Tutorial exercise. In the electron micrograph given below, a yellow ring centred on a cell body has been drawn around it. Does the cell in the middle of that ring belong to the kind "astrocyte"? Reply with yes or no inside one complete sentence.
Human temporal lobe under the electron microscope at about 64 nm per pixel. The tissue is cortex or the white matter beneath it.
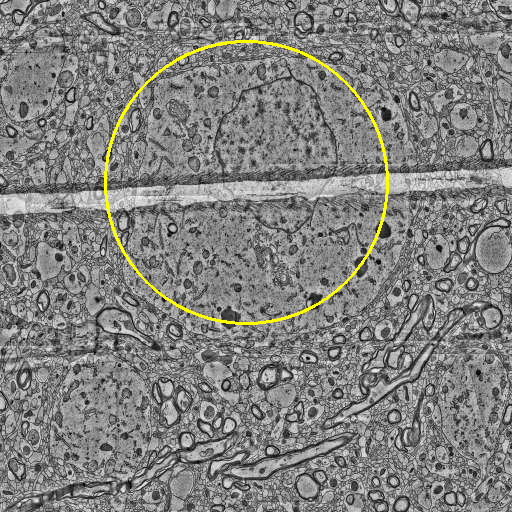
No, the cell at the centre of the ring in the picture is of a different kind.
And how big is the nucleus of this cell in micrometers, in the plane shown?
The nucleus works out at approximately 10 by 8 micrometres in this plane.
